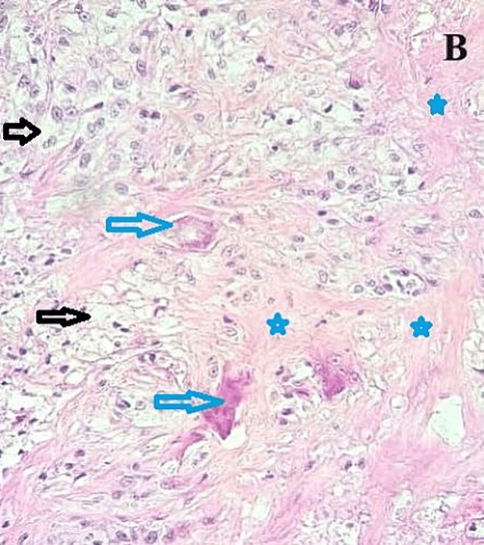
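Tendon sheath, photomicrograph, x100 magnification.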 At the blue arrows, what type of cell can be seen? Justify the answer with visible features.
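Multinucleated osteoclast-like giant cells. The blue arrows point to large cells with dense pink-purple cytoplasm. They are much larger than the neighbouring pale cells.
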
